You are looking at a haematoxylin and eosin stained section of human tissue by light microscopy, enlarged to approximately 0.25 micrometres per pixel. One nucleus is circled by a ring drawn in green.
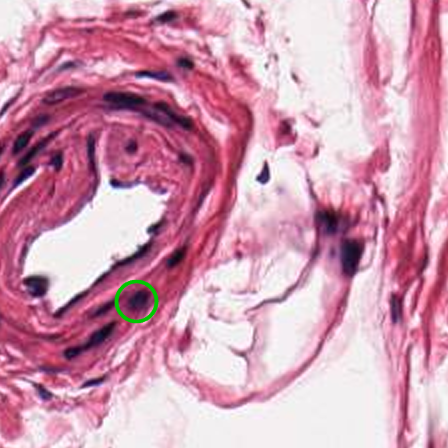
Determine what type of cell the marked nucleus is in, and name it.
smooth muscle cell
